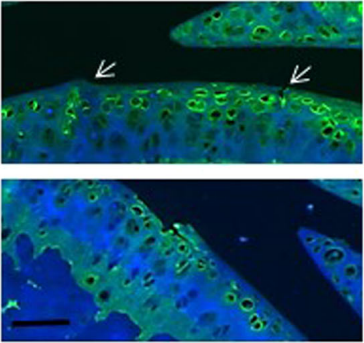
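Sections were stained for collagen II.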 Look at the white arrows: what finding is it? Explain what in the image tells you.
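The white arrows point at the free surface of the upper cartilage layer. At the arrows the surface line is notched and not smooth. So: uneven surface and fissure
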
